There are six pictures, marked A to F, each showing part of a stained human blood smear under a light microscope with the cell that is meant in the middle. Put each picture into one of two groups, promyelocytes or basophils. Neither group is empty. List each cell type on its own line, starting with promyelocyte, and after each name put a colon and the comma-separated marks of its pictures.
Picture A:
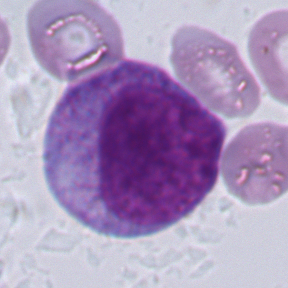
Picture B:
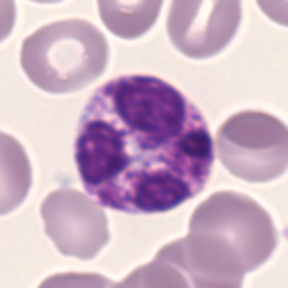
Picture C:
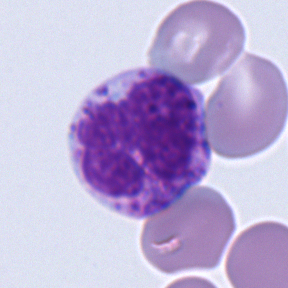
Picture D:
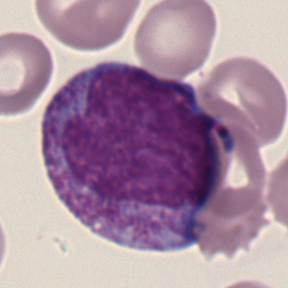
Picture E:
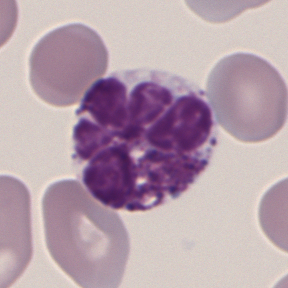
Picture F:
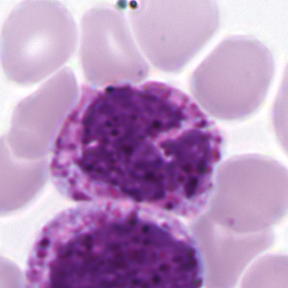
promyelocyte: A, D
basophil: B, C, E, F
